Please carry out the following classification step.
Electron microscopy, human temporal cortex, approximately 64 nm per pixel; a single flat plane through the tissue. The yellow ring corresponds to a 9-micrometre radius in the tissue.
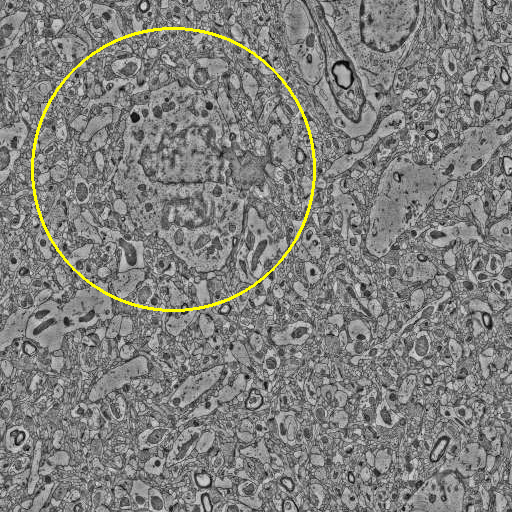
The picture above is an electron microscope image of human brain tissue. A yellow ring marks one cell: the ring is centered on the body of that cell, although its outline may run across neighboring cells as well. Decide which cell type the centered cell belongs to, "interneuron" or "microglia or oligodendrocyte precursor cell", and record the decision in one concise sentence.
The cell centered in the yellow ring is an interneuron.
